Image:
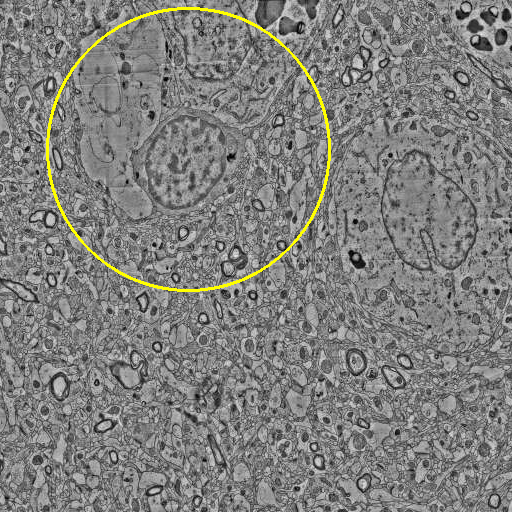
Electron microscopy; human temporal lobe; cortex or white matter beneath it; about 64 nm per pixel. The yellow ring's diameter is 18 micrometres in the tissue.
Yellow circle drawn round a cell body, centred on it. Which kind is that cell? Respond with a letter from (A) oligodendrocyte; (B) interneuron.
A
